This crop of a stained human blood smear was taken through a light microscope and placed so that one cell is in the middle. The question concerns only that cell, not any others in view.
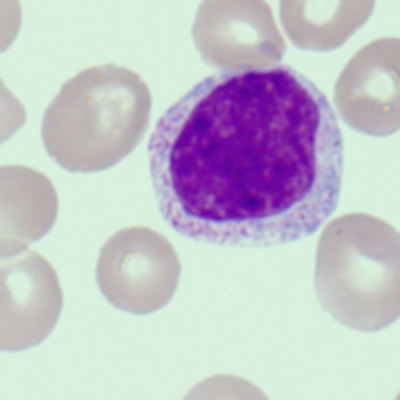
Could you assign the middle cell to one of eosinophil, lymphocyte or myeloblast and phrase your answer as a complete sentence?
Classification of the middle cell gives a lymphocyte.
